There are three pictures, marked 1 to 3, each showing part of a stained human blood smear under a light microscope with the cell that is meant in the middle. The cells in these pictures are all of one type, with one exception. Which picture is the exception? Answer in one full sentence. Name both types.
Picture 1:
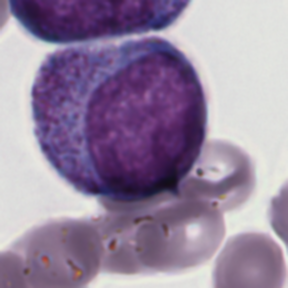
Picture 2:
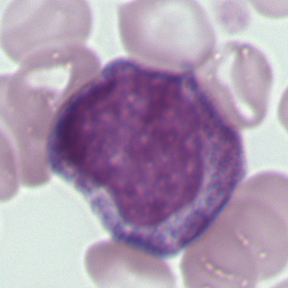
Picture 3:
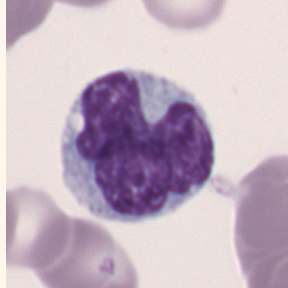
All pictures except 3 show promyelocytes; picture 3 shows a monocyte.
